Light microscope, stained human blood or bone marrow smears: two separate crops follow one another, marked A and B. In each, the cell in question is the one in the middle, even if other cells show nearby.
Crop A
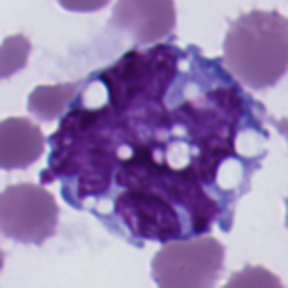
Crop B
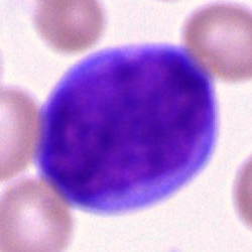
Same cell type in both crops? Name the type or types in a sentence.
No, the correct reading is a monocyte in crop A and a blast in crop B.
